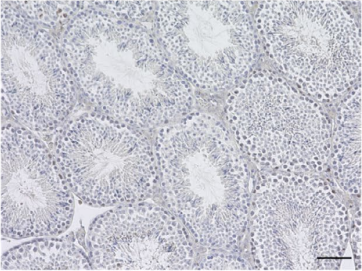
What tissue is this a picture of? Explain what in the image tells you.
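Tightly packed tubules lined by several layers of round cells. Lumens filled with pale wisps of sperm tails. Small interstitial areas between the tubules. On this evidence: testes.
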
